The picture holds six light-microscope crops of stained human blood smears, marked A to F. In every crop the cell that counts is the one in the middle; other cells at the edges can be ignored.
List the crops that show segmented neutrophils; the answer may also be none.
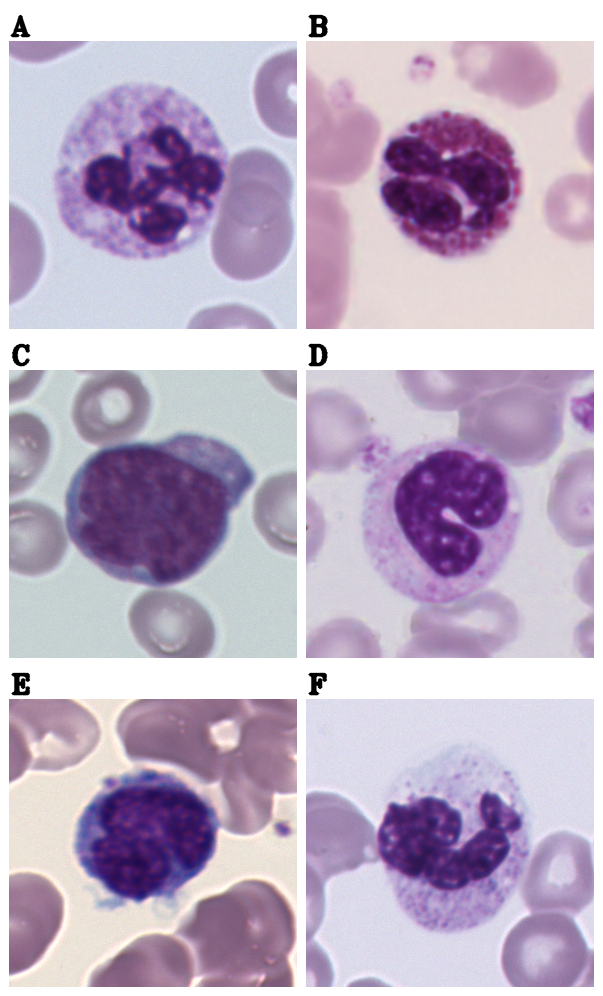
A, F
